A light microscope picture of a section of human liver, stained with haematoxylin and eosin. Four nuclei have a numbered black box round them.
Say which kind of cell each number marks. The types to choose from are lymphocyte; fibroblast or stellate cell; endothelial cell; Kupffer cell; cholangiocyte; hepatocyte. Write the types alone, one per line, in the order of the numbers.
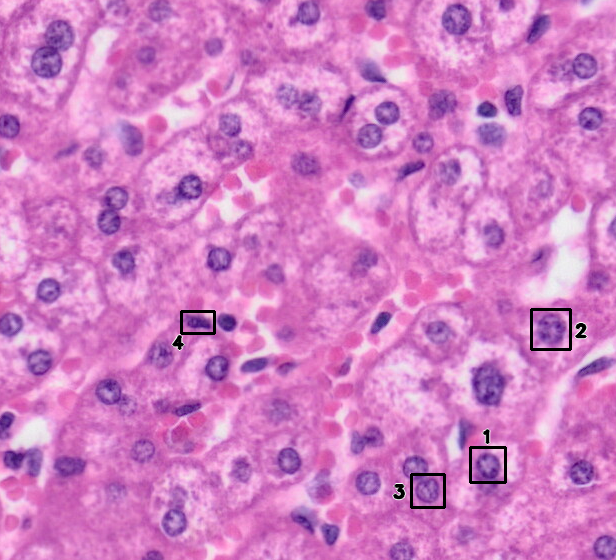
hepatocyte
hepatocyte
hepatocyte
fibroblast or stellate cell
